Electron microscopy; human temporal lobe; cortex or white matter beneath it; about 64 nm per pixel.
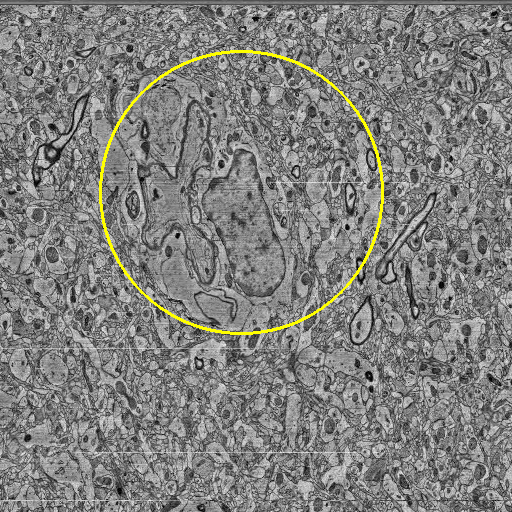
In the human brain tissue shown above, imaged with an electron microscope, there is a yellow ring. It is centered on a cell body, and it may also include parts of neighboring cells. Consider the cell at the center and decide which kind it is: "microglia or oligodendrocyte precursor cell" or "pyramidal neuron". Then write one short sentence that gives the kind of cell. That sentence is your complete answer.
This centered cell body is that of a microglial cell or oligodendrocyte precursor cell.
